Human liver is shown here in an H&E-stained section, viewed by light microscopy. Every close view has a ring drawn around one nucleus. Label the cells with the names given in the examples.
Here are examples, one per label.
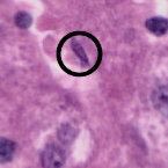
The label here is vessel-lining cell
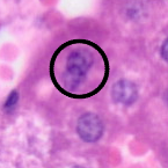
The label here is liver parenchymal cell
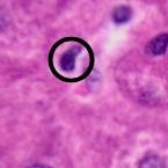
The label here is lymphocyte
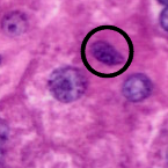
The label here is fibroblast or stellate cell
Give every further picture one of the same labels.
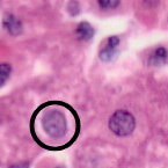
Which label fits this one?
liver parenchymal cell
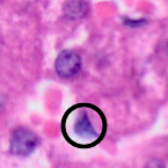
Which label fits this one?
vessel-lining cell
